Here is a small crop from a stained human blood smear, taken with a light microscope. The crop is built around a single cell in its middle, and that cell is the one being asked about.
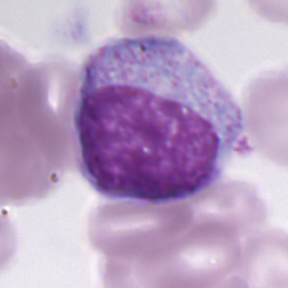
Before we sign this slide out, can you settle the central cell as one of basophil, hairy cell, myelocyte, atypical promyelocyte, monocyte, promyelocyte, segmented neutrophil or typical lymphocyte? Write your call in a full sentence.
In the middle of this smear crop, the cell is a promyelocyte.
